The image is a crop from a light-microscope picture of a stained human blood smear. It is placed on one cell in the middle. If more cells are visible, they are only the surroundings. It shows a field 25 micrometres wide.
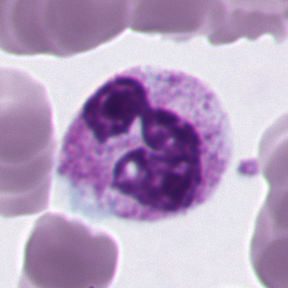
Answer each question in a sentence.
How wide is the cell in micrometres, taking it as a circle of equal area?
The diameter of the cell comes to about 14 micrometres.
